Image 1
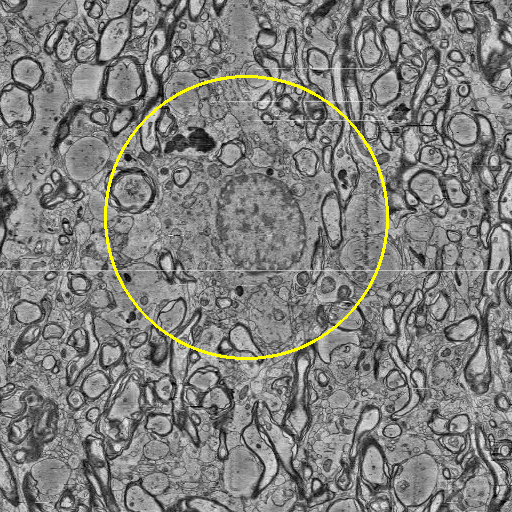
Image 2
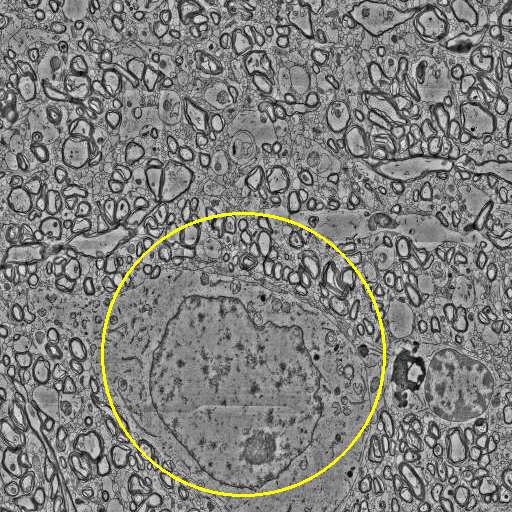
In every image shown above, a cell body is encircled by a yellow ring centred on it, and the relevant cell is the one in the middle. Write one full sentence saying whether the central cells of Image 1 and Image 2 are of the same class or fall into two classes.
The cell at the ring's centre in Image 1 and its counterpart in Image 2 fall into two classes.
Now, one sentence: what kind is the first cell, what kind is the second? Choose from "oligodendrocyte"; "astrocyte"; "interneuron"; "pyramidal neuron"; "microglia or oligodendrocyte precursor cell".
The first picture has an oligodendrocyte at its ring centre, and the second has a pyramidal neuron.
